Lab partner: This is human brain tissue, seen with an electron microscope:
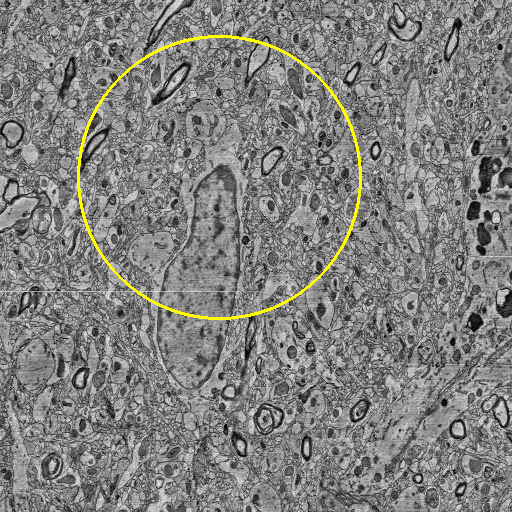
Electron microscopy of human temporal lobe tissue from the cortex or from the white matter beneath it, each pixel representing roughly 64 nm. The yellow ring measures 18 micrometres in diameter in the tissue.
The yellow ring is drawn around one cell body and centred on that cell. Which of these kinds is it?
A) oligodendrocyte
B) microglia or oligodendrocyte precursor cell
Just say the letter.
B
